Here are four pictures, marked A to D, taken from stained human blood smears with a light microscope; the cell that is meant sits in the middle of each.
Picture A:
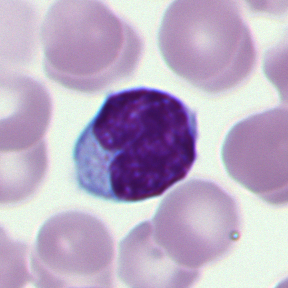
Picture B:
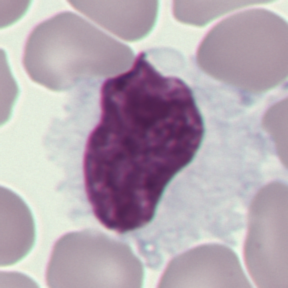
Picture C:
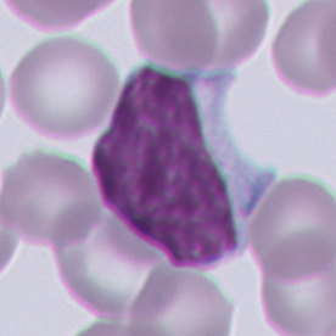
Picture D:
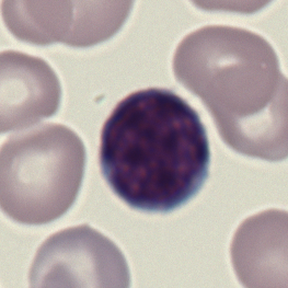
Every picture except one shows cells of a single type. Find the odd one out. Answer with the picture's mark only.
B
